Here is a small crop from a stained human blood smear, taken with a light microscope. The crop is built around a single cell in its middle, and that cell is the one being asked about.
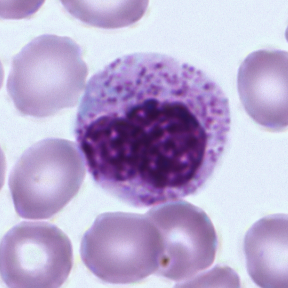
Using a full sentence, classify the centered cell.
Centred in the crop is a band neutrophil.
